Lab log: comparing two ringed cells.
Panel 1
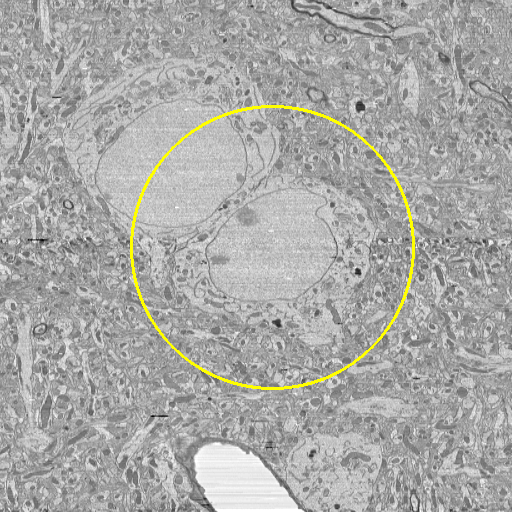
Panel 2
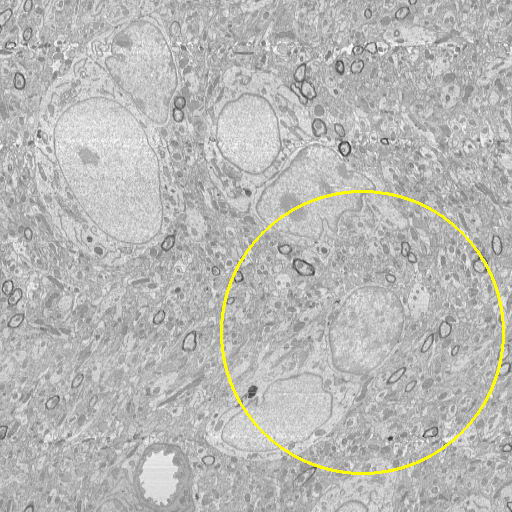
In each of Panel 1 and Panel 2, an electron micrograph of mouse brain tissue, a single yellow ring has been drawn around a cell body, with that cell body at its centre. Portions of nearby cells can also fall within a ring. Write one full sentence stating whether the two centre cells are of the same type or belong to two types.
The cells at the ring centres in Panel 1 and Panel 2 belong to two types.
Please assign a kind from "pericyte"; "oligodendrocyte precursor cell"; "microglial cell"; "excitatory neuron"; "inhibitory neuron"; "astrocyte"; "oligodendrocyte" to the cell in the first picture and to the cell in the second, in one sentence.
In the first picture we have an excitatory neuron, and in the second, an oligodendrocyte.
